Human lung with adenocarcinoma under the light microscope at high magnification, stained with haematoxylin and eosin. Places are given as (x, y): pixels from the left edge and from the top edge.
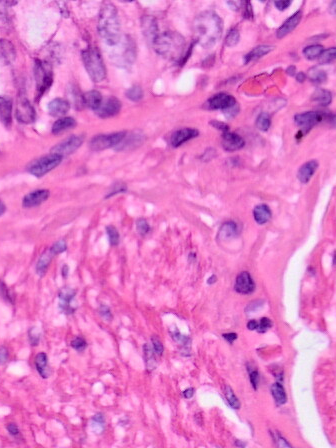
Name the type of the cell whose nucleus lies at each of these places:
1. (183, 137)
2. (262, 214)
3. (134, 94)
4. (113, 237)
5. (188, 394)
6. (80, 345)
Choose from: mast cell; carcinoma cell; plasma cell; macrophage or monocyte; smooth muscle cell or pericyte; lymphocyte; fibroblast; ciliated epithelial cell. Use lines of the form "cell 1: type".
cell 1: plasma cell
cell 2: mast cell
cell 3: ciliated epithelial cell
cell 4: smooth muscle cell or pericyte
cell 5: smooth muscle cell or pericyte
cell 6: smooth muscle cell or pericyte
